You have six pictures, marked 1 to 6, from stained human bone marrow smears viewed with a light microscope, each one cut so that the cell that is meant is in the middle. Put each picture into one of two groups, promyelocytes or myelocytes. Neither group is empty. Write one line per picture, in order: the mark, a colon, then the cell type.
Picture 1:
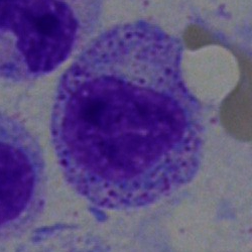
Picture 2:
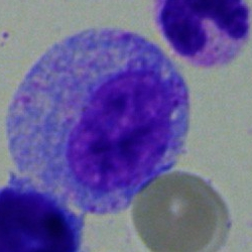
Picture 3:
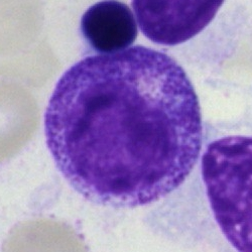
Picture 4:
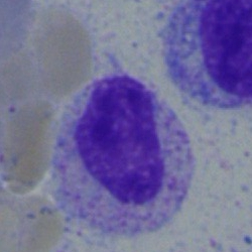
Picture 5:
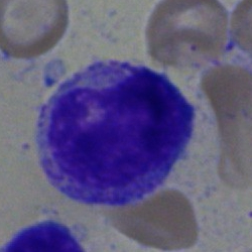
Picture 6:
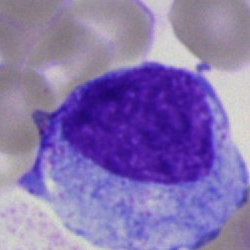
1: myelocyte
2: myelocyte
3: promyelocyte
4: myelocyte
5: myelocyte
6: promyelocyte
